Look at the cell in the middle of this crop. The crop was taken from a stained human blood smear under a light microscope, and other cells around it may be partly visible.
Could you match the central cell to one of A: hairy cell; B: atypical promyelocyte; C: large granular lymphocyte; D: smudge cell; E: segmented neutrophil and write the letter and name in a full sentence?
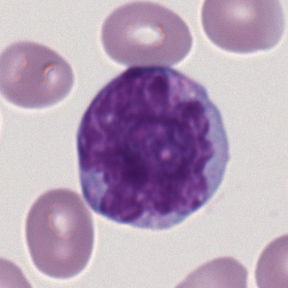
Identified correctly by option B, the cell in the middle is an atypical promyelocyte.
